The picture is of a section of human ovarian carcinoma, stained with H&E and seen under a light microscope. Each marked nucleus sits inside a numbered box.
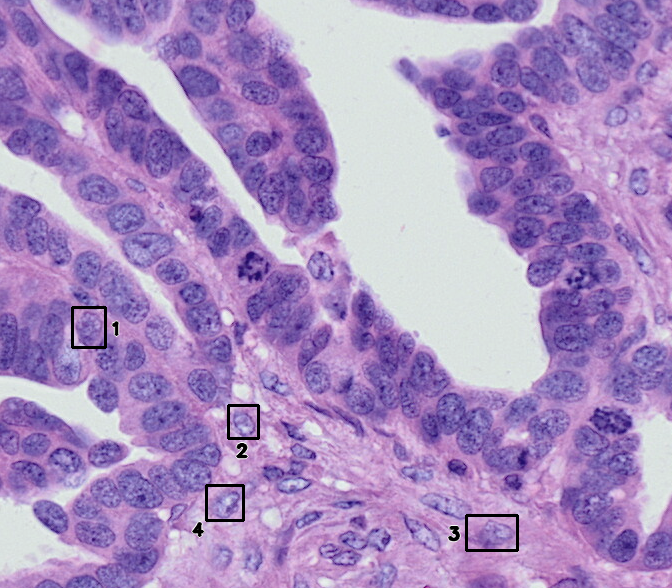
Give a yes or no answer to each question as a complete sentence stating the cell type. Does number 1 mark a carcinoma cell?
Yes, that is correct: the cell numbered 1 is a carcinoma cell.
